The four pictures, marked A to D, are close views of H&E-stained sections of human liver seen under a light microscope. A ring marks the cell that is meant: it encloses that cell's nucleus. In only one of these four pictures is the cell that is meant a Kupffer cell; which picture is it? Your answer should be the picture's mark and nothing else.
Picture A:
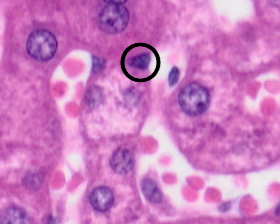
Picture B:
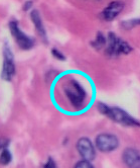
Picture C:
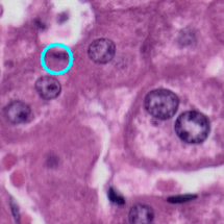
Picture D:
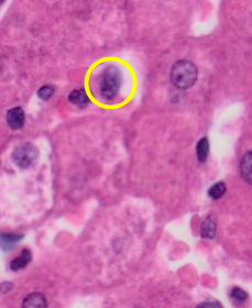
D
